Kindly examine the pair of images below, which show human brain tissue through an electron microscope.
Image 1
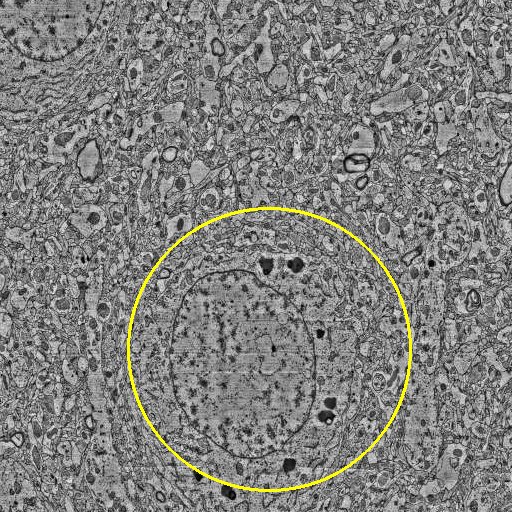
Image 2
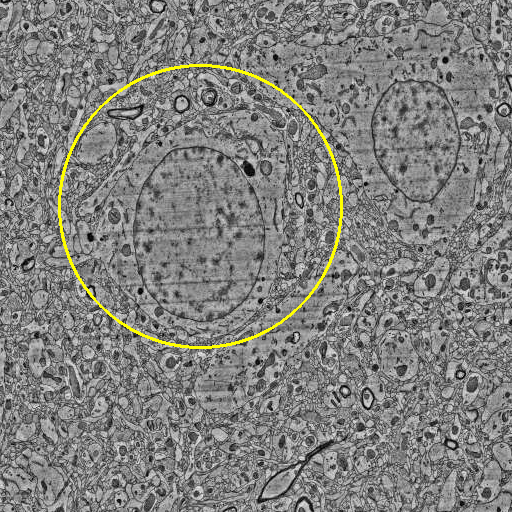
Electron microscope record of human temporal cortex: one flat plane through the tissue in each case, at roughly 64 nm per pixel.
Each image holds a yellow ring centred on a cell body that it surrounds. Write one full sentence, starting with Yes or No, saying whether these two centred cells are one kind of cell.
Yes, both cells at the centres of the yellow rings belong to one kind of cell.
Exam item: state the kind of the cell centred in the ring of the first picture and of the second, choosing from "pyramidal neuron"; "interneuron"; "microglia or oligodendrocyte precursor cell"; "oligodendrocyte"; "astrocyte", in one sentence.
In each picture the ringed cell is a pyramidal neuron.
